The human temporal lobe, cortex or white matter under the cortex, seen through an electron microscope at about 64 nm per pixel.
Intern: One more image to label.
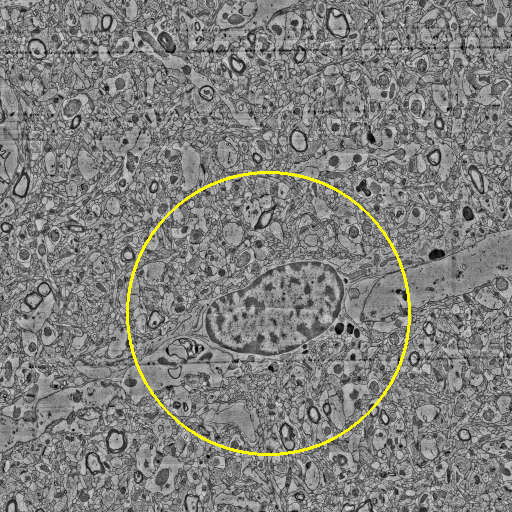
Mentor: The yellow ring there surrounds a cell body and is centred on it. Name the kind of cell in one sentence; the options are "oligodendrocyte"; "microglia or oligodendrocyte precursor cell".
The ring marks the cell body of a microglial cell or oligodendrocyte precursor cell.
